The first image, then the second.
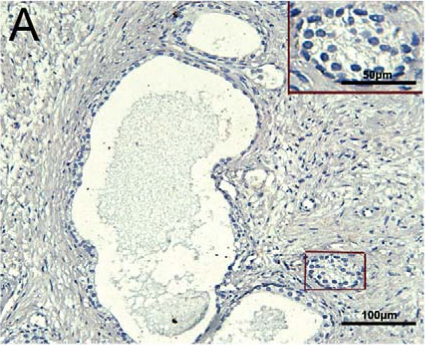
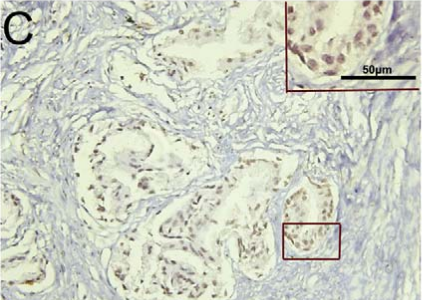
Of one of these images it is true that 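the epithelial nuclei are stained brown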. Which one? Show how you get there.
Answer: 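Second image: many nuclei in the epithelial nests are brown. First image: the nuclei, including those in the inset, are blue with no brown colour. On this evidence: the second image.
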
